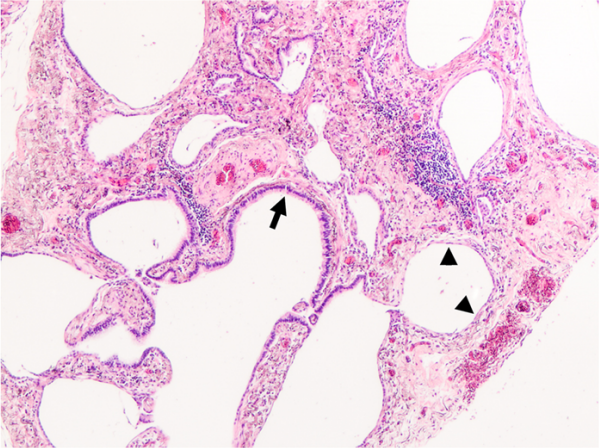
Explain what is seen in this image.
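Lung tissue with honeycombing: enlarged airspaces surrounded by fibrosis. Large rounded, empty spaces are separated by thickened walls of pink fibrous tissue instead of delicate septa. Some spaces are lined by a continuous layer of tall epithelial cells with dark purple nuclei, resembling bronchiolar epithelium; others have a lower, thinner cell lining. Thin strands of tissue project into some of the airspaces.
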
